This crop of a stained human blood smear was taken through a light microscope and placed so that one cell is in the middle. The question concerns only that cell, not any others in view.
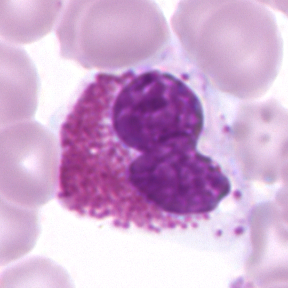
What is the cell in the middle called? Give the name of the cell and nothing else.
eosinophil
